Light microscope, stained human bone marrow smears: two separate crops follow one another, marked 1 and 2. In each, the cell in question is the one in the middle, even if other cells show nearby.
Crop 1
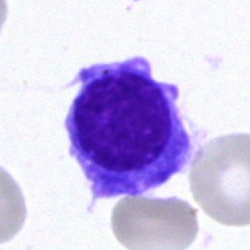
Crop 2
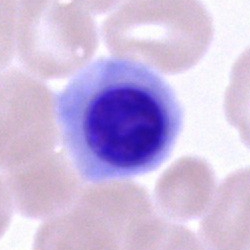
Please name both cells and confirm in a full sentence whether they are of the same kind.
No, a lymphocyte is depicted by crop 1, an erythroblast by crop 2.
